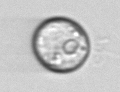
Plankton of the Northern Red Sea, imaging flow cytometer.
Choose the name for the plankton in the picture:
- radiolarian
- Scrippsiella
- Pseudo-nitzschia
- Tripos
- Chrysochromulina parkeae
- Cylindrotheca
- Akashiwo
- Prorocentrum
Prorocentrum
